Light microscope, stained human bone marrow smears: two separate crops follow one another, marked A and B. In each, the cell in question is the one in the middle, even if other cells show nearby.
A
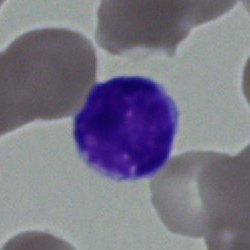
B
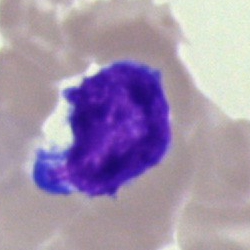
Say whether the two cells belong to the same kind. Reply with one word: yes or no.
yes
